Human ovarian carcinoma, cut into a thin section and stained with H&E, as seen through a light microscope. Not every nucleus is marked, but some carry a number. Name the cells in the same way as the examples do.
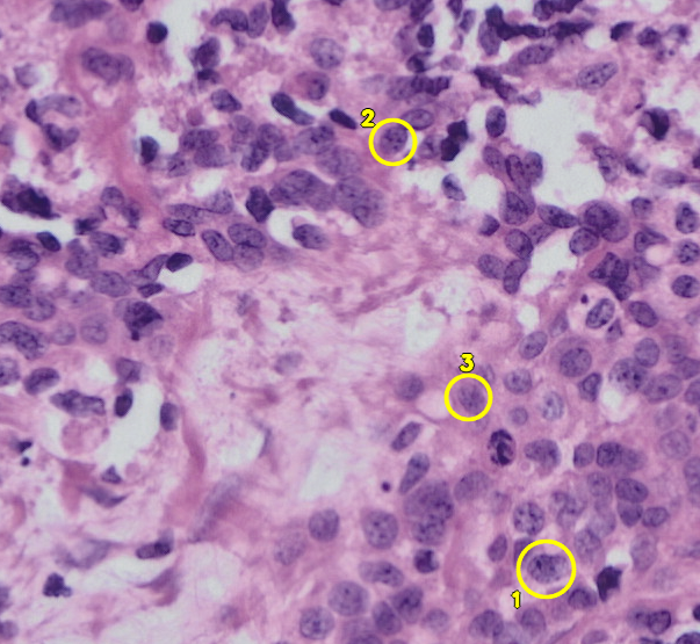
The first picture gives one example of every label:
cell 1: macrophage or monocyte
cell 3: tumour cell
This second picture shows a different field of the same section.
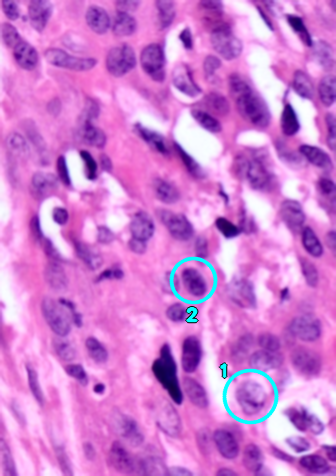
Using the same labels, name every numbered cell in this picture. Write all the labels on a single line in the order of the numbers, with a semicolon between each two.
macrophage or monocyte; tumour cell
